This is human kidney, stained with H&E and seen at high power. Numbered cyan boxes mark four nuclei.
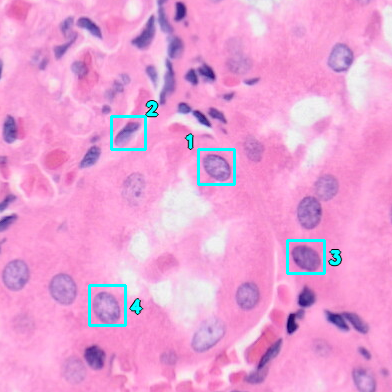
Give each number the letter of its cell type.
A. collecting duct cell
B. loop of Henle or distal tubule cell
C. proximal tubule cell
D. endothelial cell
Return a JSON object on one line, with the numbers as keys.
{"1": "C", "2": "D", "3": "C", "4": "C"}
